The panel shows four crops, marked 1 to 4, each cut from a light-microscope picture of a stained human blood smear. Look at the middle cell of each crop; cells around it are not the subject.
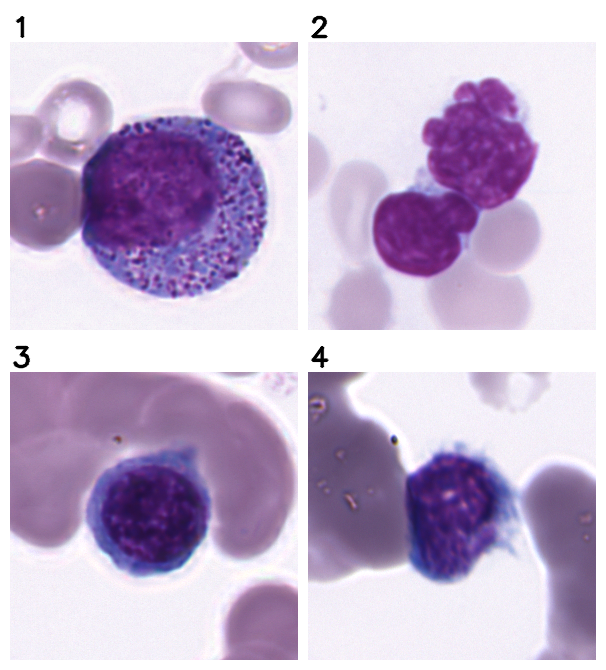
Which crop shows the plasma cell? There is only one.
3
